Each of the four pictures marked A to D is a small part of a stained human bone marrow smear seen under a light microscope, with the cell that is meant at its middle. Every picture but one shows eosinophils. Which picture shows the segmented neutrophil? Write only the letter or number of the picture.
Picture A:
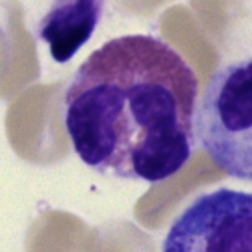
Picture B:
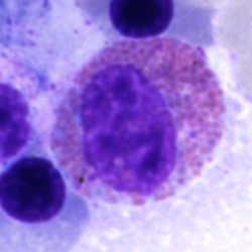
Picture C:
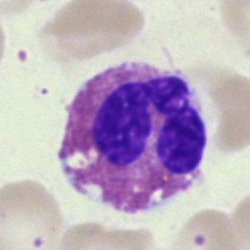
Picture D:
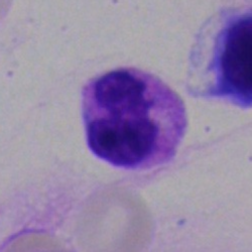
D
